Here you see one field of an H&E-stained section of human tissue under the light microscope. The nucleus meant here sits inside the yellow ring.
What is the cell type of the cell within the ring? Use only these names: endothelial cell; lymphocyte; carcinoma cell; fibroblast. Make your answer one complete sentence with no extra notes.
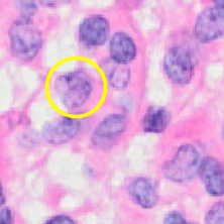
Within this tissue, the cell within the ring is a carcinoma cell.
